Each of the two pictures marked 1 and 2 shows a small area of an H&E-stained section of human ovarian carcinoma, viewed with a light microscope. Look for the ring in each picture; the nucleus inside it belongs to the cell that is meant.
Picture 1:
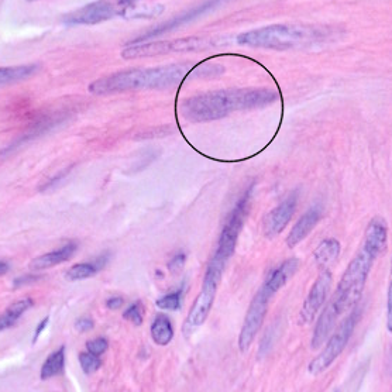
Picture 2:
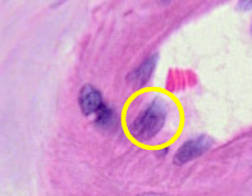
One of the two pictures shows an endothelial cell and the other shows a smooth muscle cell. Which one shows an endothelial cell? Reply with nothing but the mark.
2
